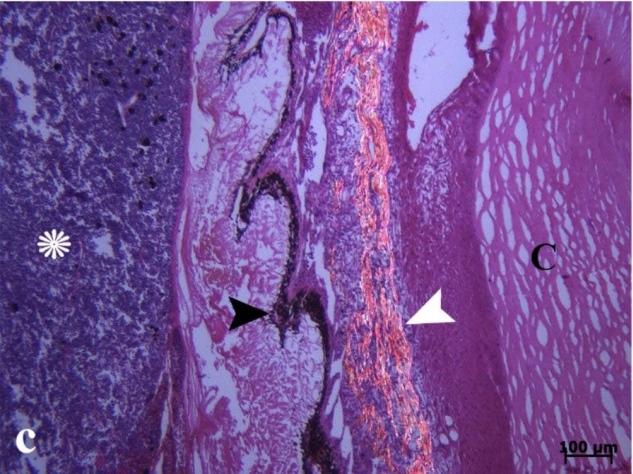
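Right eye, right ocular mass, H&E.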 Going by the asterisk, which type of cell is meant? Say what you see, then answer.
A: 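The asterisk lies in a dense sheet of small cells with dark purple nuclei. The sheet is uniformly blue-purple, unlike the pink tissue to the right. The answer: Basophilic neoplastic cells.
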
